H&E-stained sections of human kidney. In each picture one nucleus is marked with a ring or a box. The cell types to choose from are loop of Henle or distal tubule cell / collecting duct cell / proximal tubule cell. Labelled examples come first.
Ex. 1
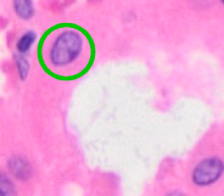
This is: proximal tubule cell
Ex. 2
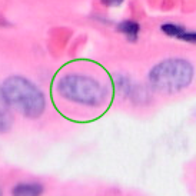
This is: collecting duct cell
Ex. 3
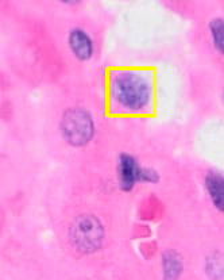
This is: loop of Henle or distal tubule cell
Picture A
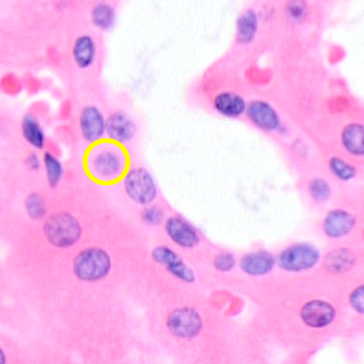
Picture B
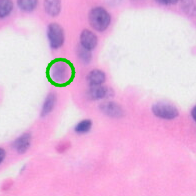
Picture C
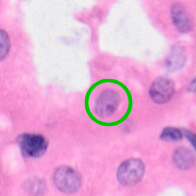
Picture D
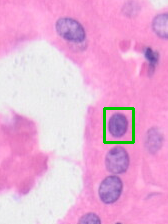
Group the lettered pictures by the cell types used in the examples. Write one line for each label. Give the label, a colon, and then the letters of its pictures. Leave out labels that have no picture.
collecting duct cell: A, B
proximal tubule cell: C, D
